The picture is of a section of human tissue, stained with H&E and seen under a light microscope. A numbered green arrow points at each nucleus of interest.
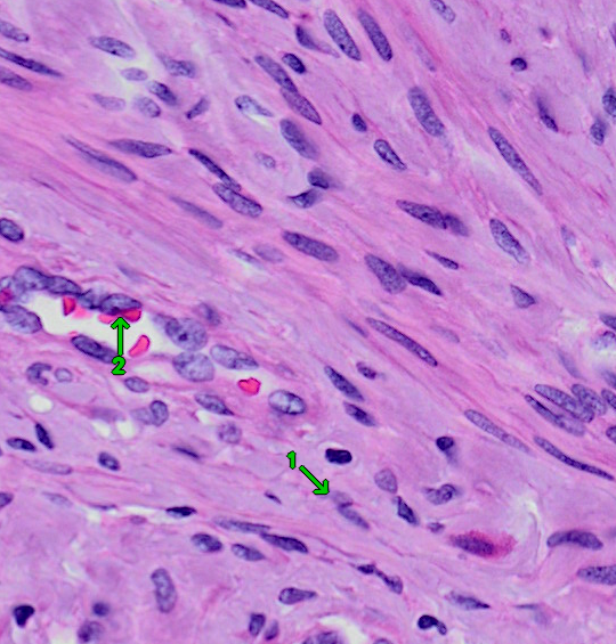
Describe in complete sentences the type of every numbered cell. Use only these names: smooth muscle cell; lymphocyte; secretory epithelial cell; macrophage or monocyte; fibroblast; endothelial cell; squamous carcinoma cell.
Cell 1 is a fibroblast and cell 2 is an endothelial cell.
